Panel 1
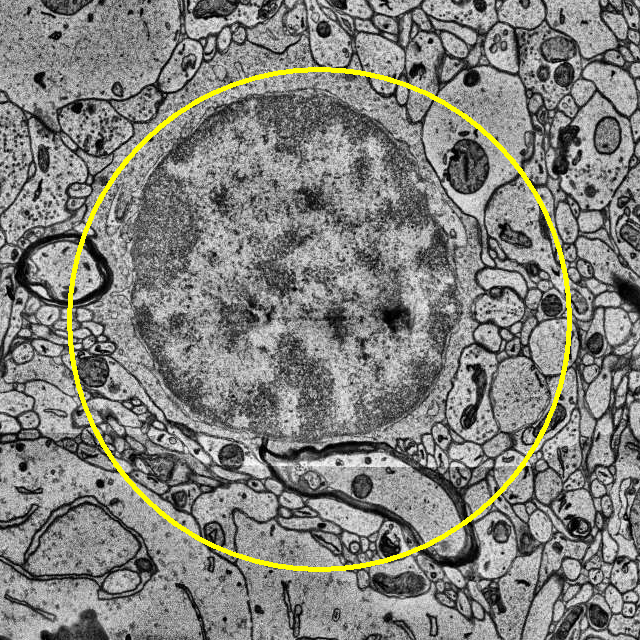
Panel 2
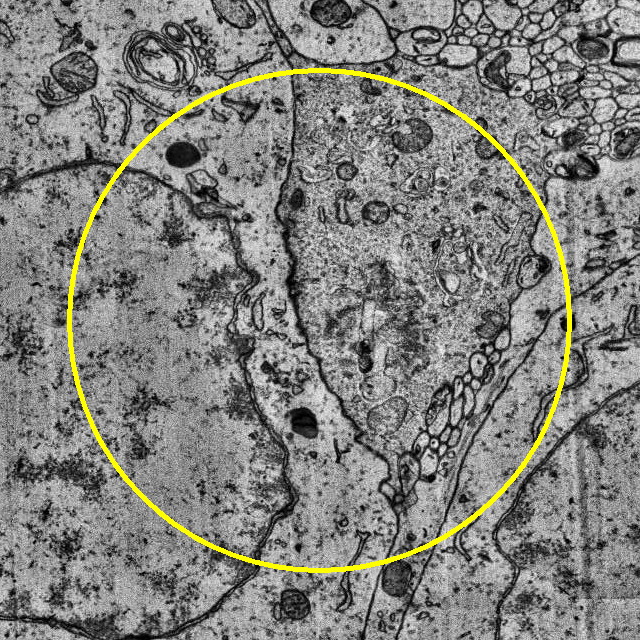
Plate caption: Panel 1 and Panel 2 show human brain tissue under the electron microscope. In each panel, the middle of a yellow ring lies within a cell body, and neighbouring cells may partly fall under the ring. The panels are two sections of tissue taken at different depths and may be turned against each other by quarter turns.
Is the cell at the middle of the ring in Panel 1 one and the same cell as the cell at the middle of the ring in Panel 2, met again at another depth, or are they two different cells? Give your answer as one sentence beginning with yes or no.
Yes, the cell marked in each ring is one and the same.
